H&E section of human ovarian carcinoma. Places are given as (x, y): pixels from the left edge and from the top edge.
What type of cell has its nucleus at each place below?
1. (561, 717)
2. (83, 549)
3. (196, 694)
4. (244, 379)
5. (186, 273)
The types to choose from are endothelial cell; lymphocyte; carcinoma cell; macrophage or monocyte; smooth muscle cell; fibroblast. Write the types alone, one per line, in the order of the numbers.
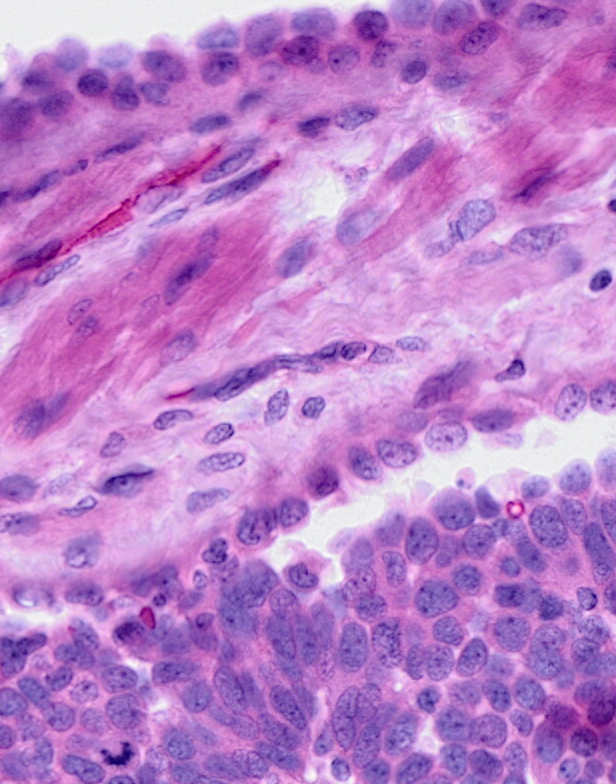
carcinoma cell
fibroblast
carcinoma cell
endothelial cell
smooth muscle cell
